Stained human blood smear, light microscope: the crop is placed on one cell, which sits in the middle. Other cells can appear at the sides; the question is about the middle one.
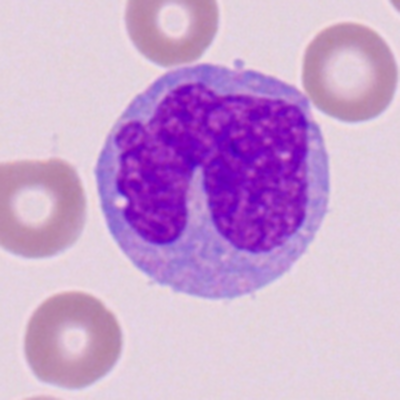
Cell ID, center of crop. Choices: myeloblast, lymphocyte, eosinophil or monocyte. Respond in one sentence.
The centrally located cell in the crop is a monocyte.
